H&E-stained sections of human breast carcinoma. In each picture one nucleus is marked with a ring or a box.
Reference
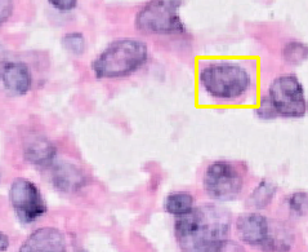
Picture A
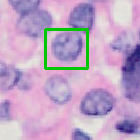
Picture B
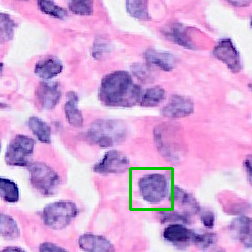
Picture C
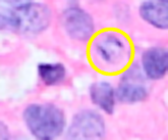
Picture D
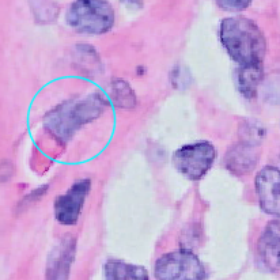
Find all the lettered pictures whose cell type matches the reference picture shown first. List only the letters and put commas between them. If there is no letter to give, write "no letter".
A, B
